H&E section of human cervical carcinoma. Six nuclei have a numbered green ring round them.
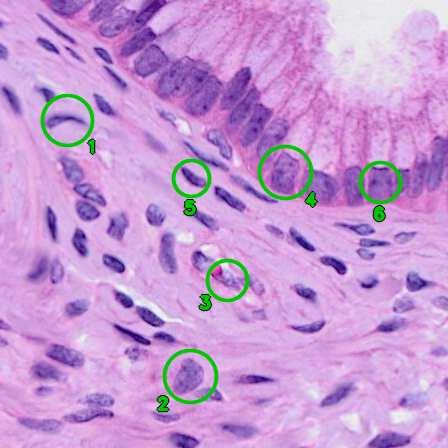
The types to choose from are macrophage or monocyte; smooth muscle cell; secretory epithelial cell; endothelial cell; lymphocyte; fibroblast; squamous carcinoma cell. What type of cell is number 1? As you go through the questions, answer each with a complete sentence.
The marked cell bearing number 1 is a fibroblast.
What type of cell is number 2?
The cell carrying label 2 is identified as a fibroblast.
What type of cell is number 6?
Cell 6, among those numbered, is a secretory epithelial cell.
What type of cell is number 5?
Number 5 among the marked cells is a fibroblast.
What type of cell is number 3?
The cell that goes by number 3 is an endothelial cell.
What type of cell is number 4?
Here the cell numbered 4 is a secretory epithelial cell.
